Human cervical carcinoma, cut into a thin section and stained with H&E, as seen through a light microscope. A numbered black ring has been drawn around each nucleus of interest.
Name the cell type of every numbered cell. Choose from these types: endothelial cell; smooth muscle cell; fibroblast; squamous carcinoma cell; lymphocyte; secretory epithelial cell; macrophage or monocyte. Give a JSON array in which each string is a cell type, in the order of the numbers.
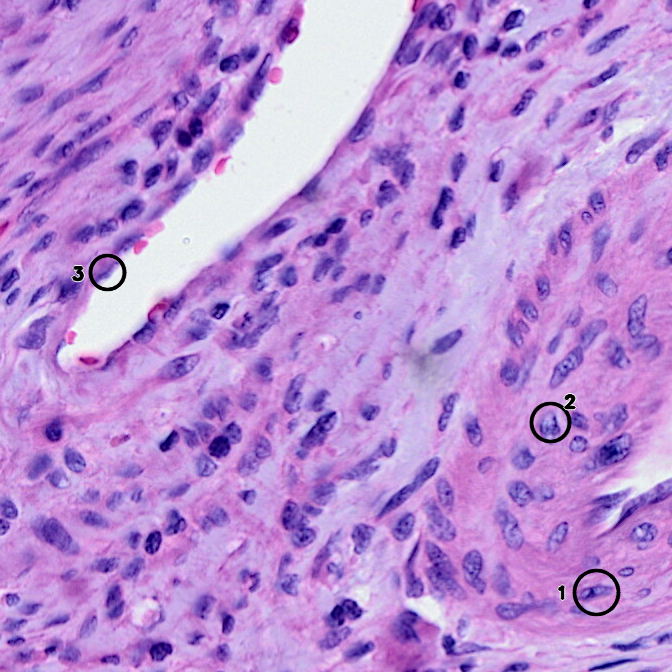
["smooth muscle cell", "smooth muscle cell", "endothelial cell"]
